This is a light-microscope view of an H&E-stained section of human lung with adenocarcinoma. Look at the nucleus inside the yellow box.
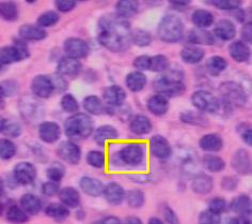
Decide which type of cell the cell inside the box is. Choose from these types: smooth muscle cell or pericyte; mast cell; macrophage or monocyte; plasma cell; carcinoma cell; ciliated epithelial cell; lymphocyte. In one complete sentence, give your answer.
To be brief about it, the cell inside the box is a lymphocyte.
